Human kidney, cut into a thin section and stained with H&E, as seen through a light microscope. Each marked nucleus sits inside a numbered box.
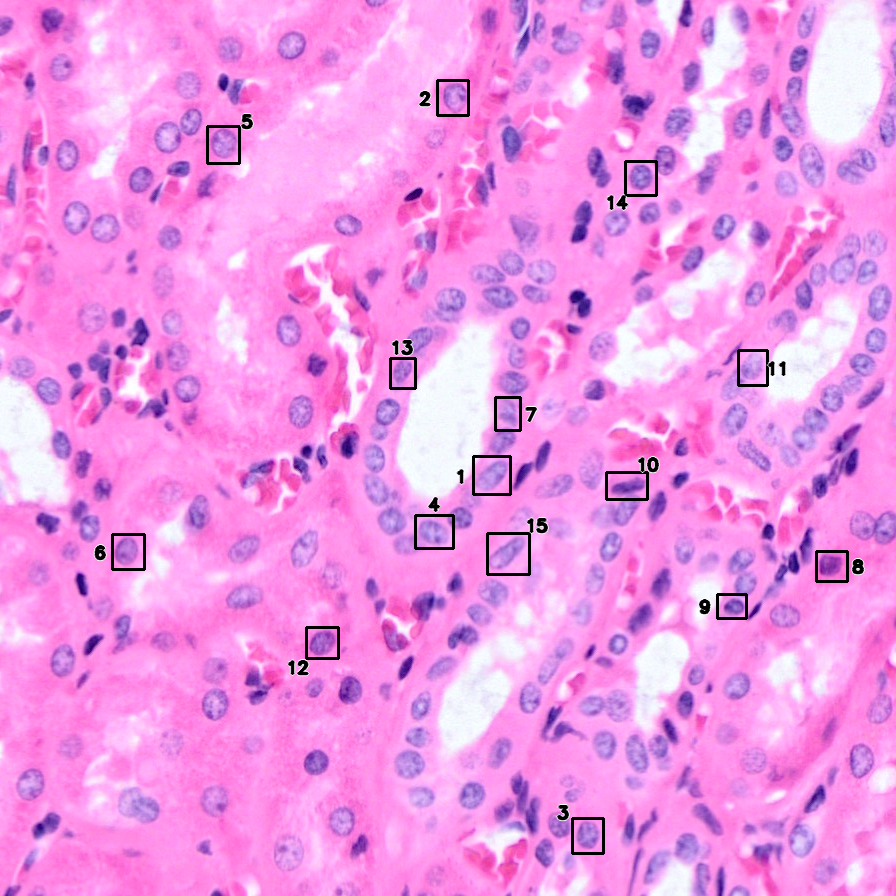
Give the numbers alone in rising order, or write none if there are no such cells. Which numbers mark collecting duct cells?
1, 4, 7, 9, 10, 11, 13, 15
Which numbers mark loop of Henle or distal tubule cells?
3, 14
